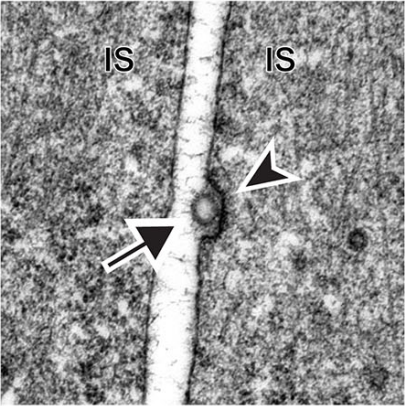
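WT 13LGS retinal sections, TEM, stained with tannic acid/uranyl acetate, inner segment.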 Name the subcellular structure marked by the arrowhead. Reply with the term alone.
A: Clathrin-coated pits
